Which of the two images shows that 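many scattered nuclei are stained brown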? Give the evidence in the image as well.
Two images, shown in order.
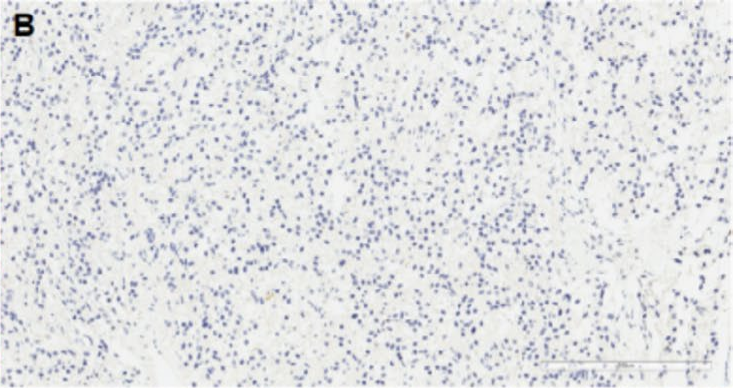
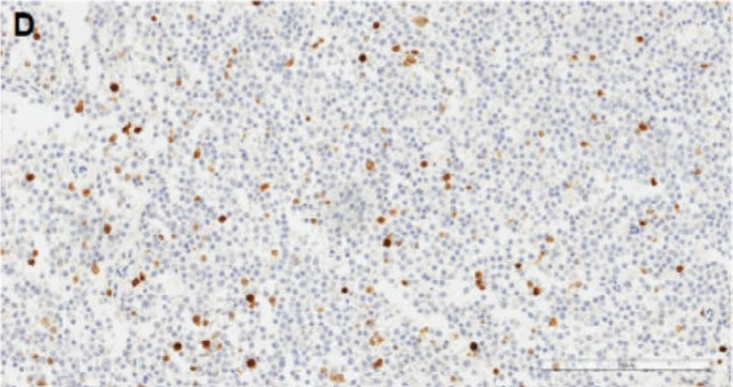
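The second image. Second image: numerous scattered brown nuclei among blue ones. First image: nearly all nuclei are blue, brown nuclei are almost absent.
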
